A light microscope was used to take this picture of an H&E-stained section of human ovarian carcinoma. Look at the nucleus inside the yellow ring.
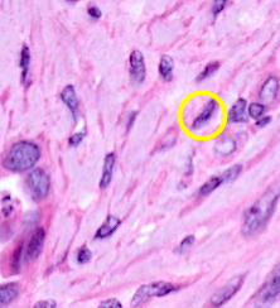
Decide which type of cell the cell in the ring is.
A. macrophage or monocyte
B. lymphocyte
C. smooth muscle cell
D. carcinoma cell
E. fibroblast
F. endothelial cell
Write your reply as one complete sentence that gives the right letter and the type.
It is as option E has it, the cell in the ring being a fibroblast.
